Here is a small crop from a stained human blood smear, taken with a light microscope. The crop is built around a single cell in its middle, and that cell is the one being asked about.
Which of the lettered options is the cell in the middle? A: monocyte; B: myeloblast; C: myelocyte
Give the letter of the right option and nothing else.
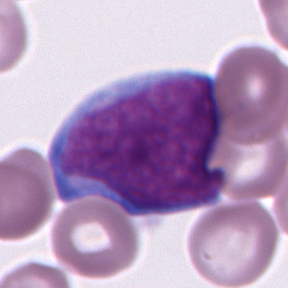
B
